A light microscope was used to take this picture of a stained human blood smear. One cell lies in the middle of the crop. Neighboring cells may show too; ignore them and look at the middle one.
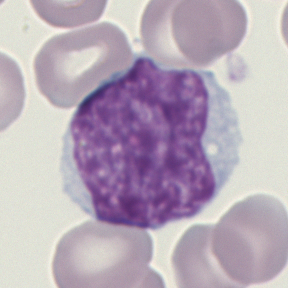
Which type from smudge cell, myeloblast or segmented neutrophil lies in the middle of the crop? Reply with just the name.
myeloblast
